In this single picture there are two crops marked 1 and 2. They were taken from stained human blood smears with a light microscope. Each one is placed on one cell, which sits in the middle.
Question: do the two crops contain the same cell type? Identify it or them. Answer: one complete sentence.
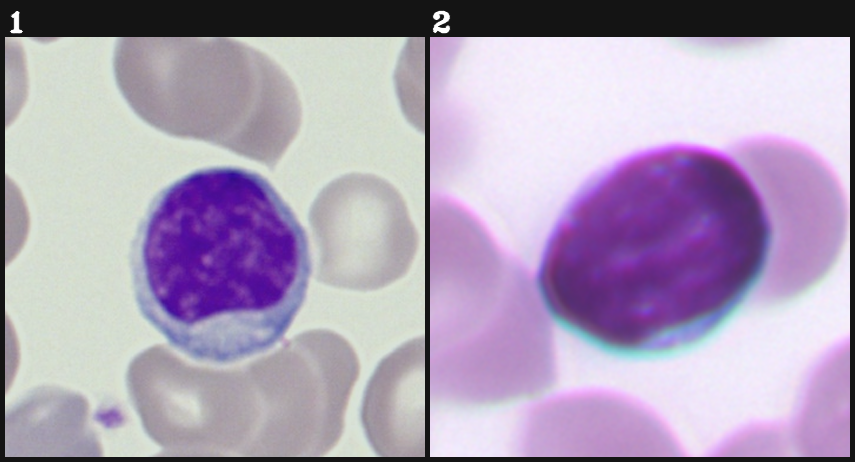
Yes, the cells at the centres of the two crops are lymphocytes.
